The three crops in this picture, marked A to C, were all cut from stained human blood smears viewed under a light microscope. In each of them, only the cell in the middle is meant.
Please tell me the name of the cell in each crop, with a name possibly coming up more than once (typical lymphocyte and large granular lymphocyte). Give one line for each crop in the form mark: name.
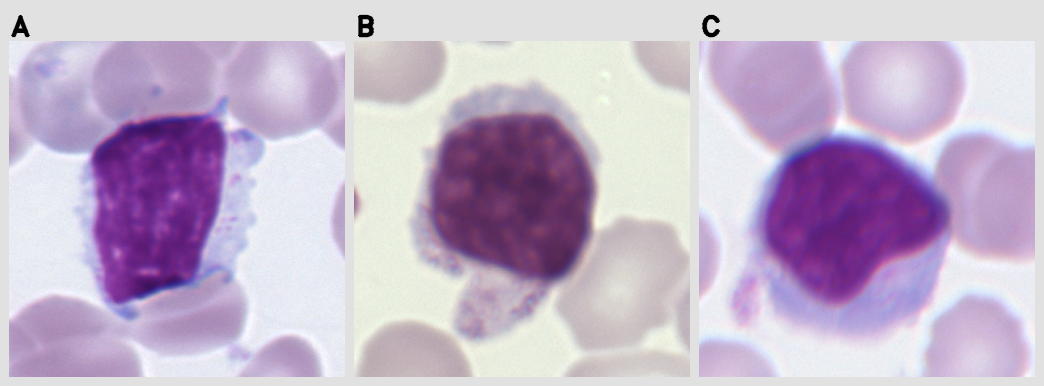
A: large granular lymphocyte
B: typical lymphocyte
C: typical lymphocyte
